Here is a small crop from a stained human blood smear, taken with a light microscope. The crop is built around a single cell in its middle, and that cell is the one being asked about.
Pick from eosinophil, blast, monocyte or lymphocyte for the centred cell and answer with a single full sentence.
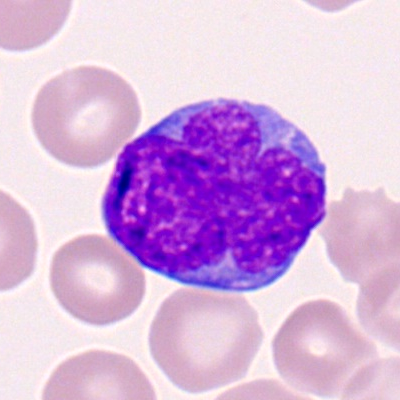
This crop is built around a blast at its centre.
